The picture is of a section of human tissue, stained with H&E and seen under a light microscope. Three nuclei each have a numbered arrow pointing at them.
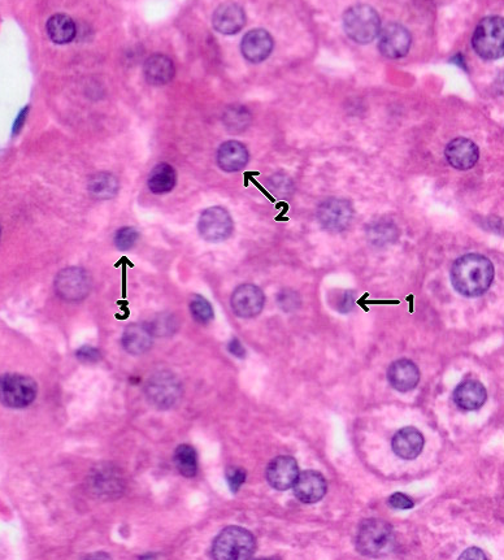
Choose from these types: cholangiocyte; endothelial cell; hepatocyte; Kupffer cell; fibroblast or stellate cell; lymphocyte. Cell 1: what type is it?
Kupffer cell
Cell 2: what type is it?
hepatocyte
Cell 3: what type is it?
Kupffer cell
